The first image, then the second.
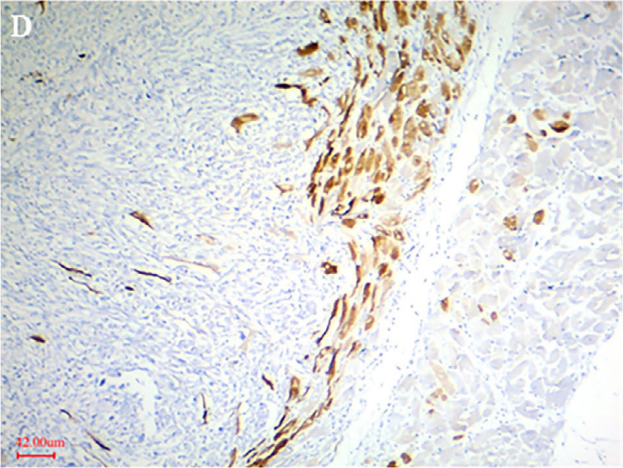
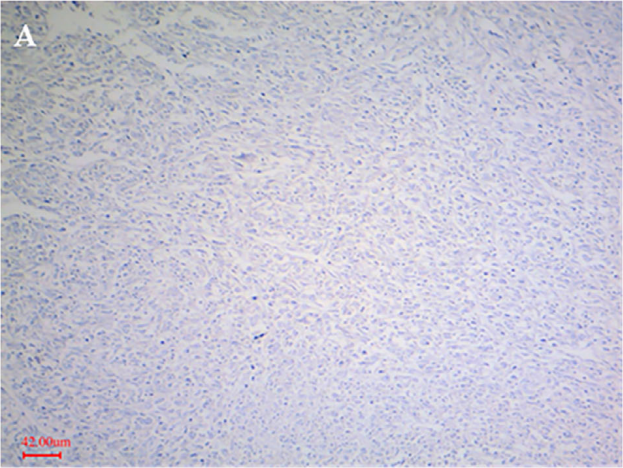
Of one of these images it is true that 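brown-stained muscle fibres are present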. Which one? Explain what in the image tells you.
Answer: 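Second image: the whole field is blue with no brown-stained fibres. First image: a band of brown-stained elongated and cross-cut fibres runs through the field.
The first image.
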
